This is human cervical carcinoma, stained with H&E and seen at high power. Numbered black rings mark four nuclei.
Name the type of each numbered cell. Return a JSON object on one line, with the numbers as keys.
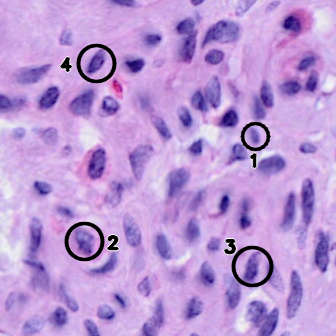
{"1": "fibroblast", "2": "endothelial cell", "3": "fibroblast", "4": "fibroblast"}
